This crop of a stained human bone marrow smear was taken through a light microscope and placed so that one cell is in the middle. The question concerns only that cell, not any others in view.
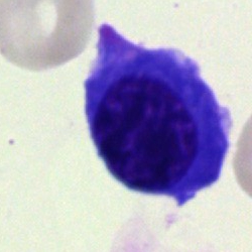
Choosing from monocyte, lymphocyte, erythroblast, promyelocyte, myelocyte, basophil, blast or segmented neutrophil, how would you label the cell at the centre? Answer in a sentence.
The cell at the centre of the field is an erythroblast.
